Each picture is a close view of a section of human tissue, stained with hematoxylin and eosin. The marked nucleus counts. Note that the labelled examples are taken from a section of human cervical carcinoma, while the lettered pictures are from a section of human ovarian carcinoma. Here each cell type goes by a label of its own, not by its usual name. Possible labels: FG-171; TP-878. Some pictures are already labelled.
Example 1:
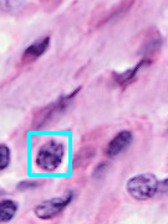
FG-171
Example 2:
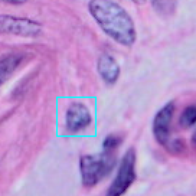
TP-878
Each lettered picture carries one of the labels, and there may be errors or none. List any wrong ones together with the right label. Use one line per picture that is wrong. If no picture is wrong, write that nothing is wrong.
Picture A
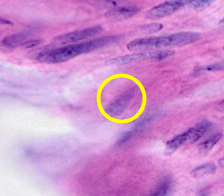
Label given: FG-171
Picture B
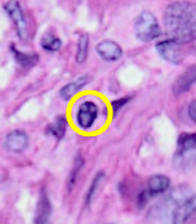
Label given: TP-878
Wrong: A (FG-171); correct: TP-878
Wrong: B (TP-878); correct: FG-171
